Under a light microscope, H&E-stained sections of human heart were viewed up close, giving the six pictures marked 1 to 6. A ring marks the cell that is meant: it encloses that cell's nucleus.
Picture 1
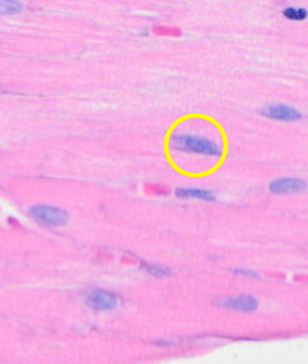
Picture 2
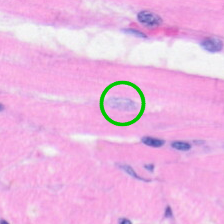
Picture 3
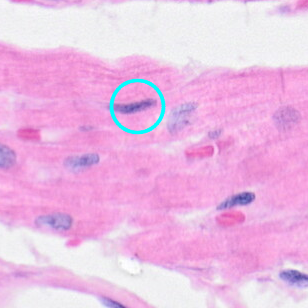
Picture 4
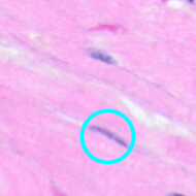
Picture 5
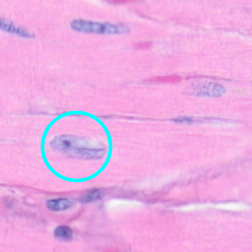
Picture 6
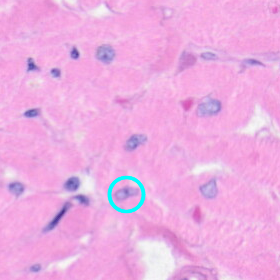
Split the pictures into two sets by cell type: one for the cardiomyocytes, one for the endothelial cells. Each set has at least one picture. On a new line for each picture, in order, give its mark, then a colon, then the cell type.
1: endothelial cell
2: cardiomyocyte
3: endothelial cell
4: endothelial cell
5: cardiomyocyte
6: cardiomyocyte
